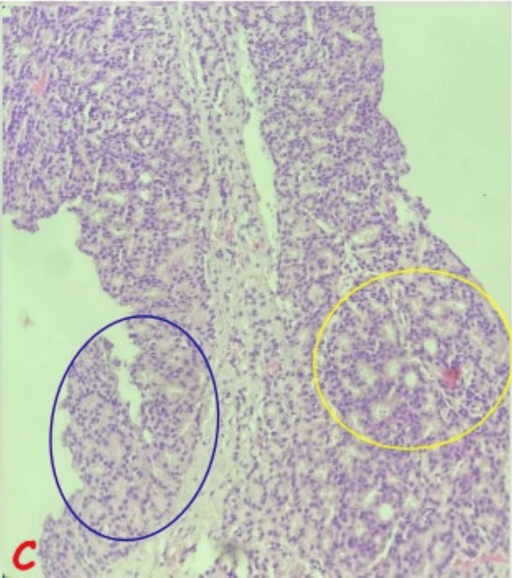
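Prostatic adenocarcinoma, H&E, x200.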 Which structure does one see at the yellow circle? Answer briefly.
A: Irregular cribriform acini with small round lumina.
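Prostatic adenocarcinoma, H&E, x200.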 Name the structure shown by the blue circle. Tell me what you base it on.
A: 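Poorly formed atypical acini lacking lumina and fusing together. Neighbouring cell groups run into one another.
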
